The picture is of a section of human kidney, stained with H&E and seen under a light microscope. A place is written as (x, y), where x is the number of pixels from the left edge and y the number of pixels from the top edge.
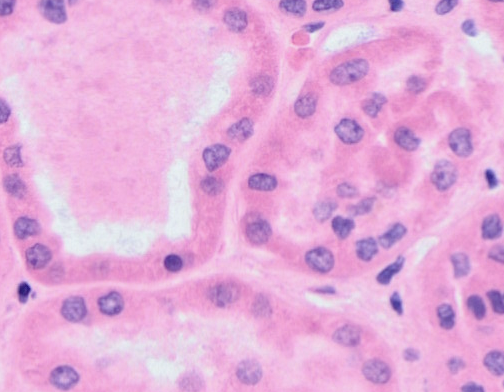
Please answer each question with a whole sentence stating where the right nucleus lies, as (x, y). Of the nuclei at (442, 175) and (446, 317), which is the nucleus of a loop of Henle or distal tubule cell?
Of the two, the nucleus at (446, 317) is the one contained in a loop of Henle or distal tubule cell.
